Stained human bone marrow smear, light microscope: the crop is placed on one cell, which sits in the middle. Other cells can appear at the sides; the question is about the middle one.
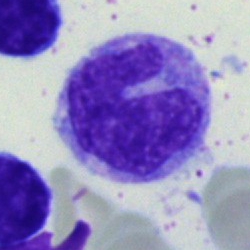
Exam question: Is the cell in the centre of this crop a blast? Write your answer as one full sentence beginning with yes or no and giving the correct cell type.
No, at the centre of this crop is found a monocyte instead of a blast.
